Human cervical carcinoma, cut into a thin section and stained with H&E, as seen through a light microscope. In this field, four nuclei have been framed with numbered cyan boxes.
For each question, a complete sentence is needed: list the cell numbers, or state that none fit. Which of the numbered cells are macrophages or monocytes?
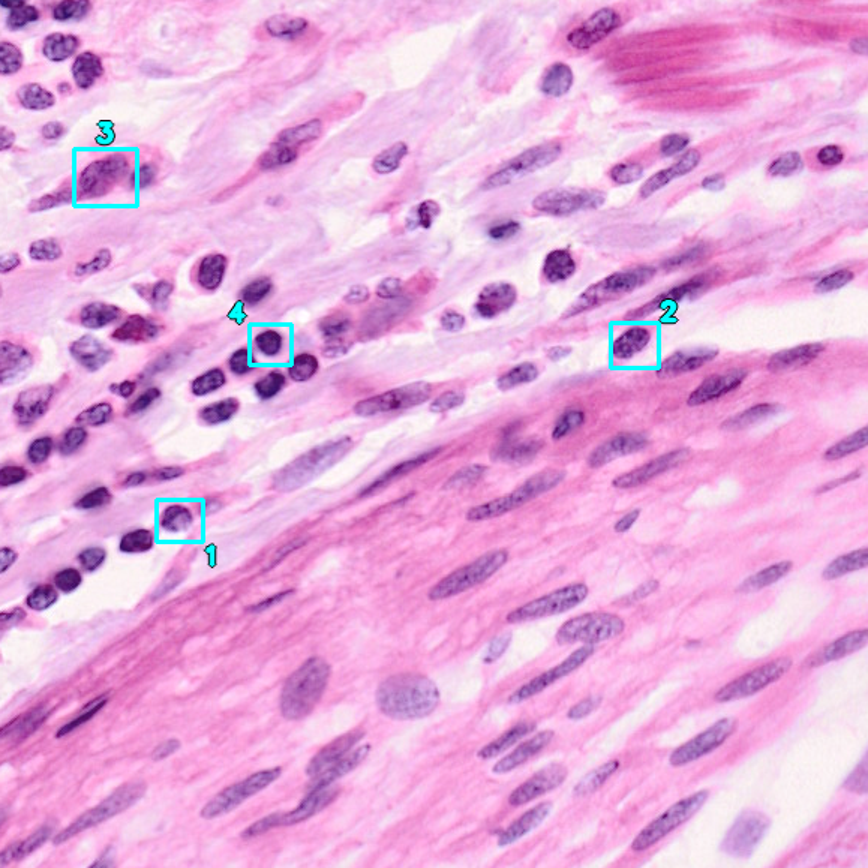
Only cell 3 qualifies as a macrophage or monocyte among the numbered cells.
